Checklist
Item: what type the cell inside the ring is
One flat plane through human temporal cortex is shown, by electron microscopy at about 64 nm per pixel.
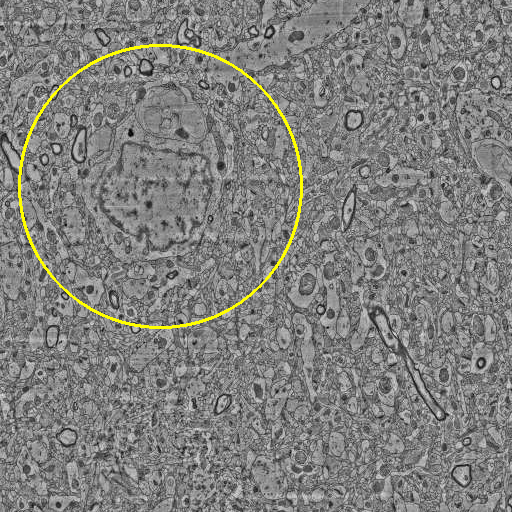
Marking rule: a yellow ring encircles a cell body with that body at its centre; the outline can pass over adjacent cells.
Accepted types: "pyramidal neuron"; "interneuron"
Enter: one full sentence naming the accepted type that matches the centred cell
The entry is that an interneuron lies at the centre of the yellow ring.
